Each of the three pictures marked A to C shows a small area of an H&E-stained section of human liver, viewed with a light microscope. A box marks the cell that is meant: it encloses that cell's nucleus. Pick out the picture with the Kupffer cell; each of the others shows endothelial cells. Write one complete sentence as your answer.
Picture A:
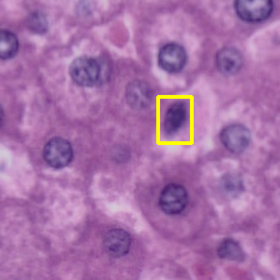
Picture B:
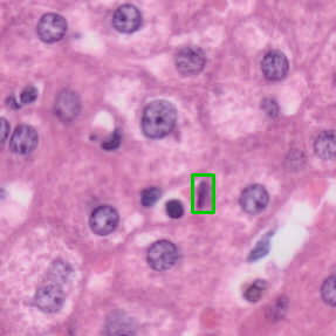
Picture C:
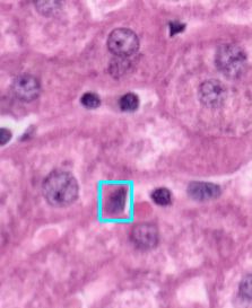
Picture A is the one that shows the Kupffer cell.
